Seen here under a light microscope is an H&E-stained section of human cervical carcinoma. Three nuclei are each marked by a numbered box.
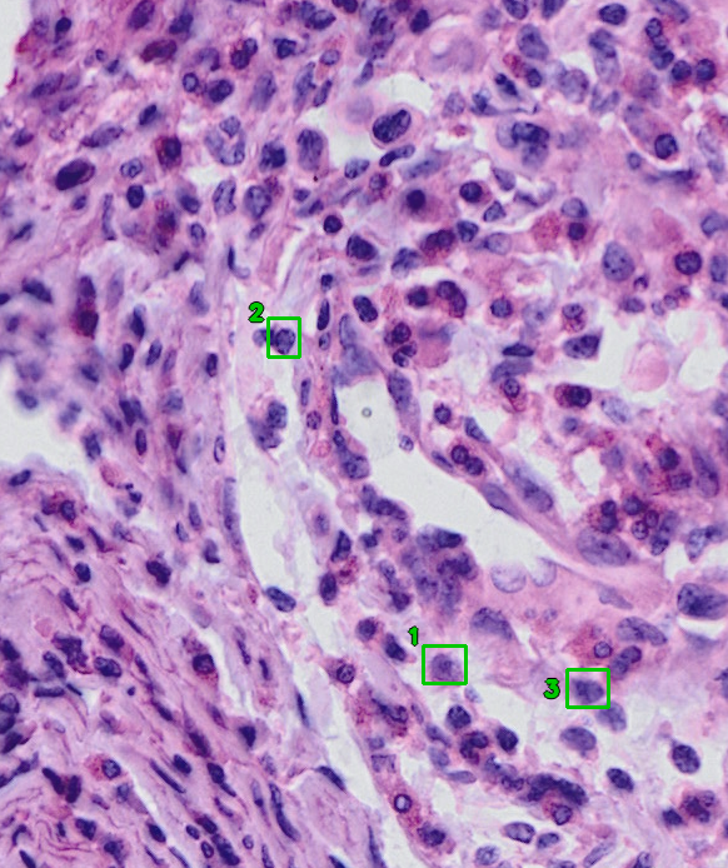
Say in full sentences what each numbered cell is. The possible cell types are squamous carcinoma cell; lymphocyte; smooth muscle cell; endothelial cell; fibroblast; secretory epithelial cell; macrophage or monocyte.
Cell 1 is a macrophage or monocyte. Cells 2 and 3 are lymphocytes.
